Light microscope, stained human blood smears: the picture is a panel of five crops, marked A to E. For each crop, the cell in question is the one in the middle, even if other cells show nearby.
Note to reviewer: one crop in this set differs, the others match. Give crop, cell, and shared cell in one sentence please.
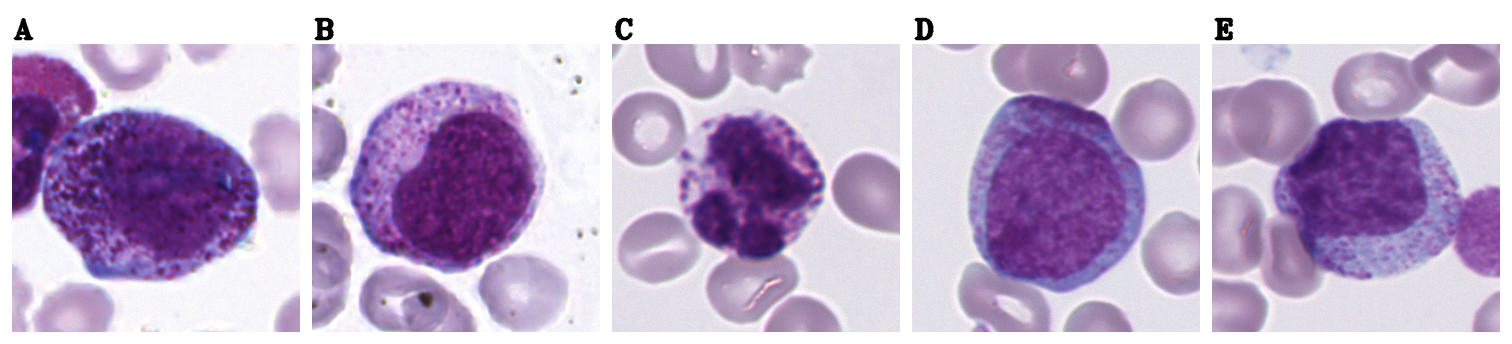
The central cell of crop C is a basophil, while the other crops show promyelocytes.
